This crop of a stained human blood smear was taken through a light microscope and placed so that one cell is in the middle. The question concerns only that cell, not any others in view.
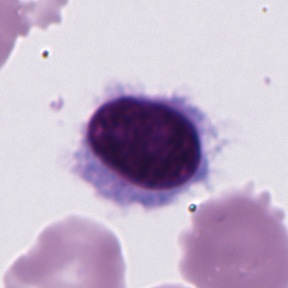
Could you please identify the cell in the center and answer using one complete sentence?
The cell centred in this crop is categorized as a hairy cell.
